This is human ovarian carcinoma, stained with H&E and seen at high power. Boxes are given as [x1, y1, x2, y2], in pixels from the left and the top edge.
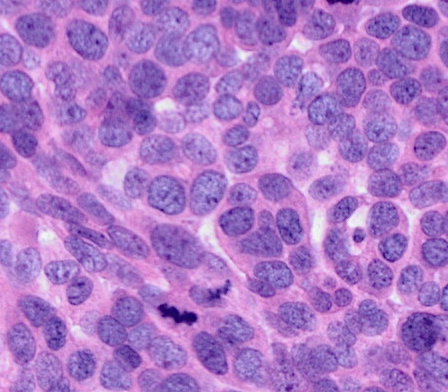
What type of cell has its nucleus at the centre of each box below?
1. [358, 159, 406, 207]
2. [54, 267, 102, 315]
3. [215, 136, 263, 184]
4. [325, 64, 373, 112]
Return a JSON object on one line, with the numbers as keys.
{"1": "carcinoma cell", "2": "macrophage or monocyte", "3": "carcinoma cell", "4": "carcinoma cell"}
